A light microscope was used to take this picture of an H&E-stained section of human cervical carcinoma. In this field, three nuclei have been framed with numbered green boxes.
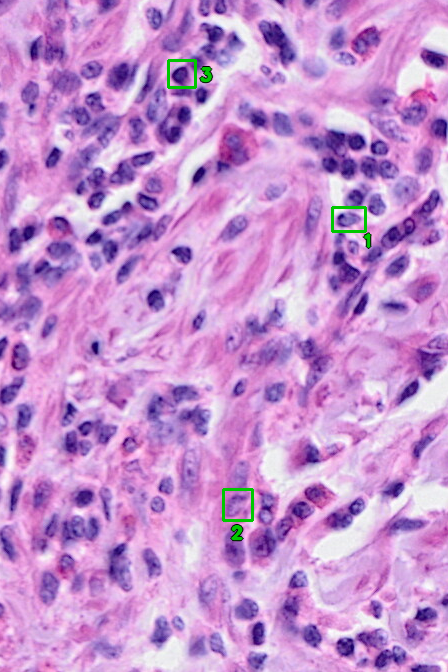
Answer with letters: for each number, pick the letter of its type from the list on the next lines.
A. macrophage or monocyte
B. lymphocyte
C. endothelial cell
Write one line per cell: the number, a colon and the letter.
1: B
2: C
3: B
